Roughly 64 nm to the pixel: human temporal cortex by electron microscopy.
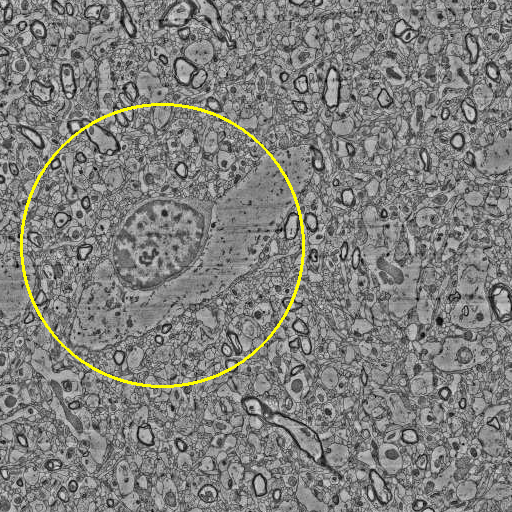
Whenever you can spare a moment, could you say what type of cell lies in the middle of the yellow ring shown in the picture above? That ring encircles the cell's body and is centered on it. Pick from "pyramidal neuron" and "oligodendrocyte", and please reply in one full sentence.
The cell whose body sits at the middle of the yellow ring is an oligodendrocyte.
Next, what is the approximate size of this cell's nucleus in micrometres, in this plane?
In this plane, approximately 6 by 5 micrometers.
